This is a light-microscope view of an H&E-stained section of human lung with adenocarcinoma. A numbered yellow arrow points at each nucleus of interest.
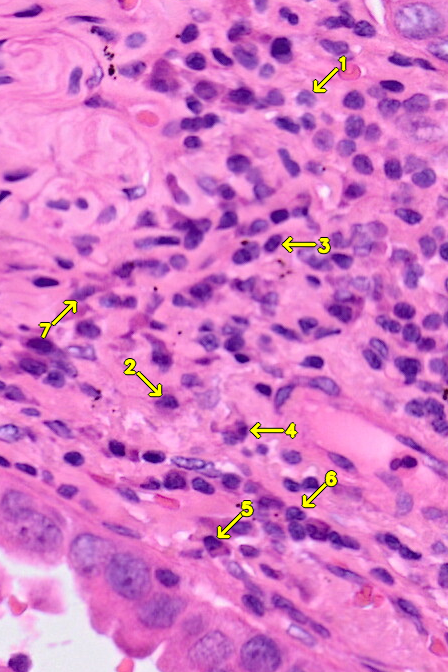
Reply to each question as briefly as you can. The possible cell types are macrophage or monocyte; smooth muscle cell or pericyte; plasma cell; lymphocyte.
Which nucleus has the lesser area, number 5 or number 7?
5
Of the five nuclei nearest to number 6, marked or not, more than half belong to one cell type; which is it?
plasma cell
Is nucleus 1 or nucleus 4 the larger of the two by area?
1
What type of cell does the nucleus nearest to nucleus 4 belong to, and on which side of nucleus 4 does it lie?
a plasma cell below and to the left of nucleus 4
